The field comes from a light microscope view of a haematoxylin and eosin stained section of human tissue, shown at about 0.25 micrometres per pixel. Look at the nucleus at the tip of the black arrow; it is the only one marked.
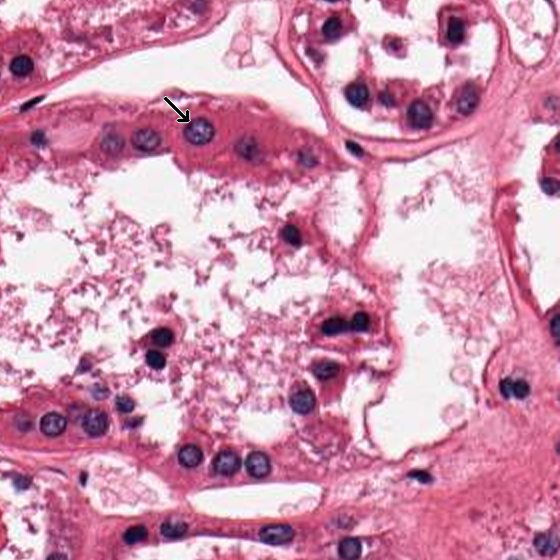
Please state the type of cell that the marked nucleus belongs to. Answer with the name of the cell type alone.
proximal tubule cell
